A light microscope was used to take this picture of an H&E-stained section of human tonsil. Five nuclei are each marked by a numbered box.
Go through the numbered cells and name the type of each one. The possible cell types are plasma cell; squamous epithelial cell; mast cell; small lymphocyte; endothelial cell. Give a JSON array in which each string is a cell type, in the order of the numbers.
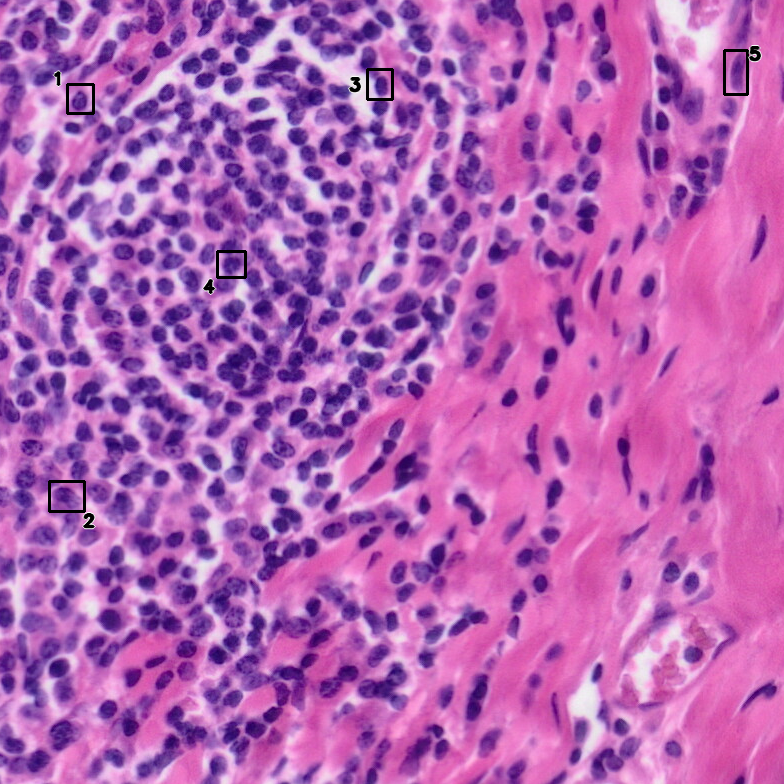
["plasma cell", "plasma cell", "small lymphocyte", "small lymphocyte", "endothelial cell"]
